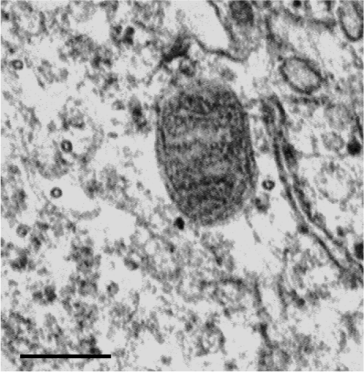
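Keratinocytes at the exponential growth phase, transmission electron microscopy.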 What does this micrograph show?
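The mitochondrion is oval and bounded by a double membrane. Thin, regularly spaced cristae run across its moderately grey matrix. Small vesicles and membrane profiles lie in the surrounding cytoplasm.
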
